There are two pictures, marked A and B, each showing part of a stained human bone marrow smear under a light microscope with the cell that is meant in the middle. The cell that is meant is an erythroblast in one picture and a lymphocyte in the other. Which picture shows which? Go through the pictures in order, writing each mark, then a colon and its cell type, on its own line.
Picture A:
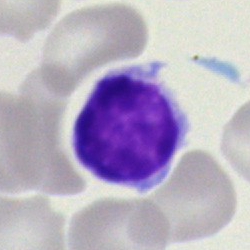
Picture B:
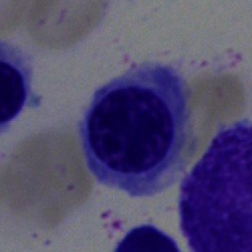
A: lymphocyte
B: erythroblast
